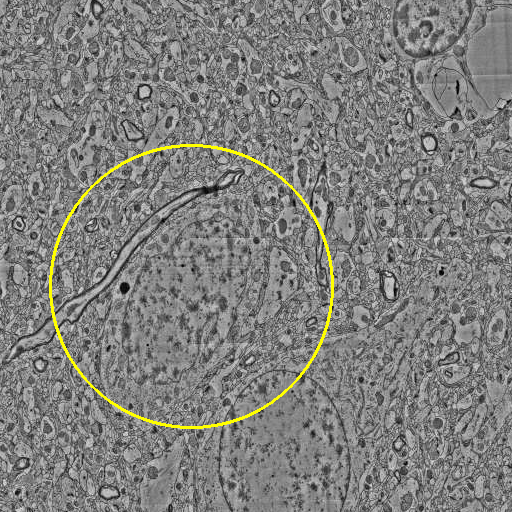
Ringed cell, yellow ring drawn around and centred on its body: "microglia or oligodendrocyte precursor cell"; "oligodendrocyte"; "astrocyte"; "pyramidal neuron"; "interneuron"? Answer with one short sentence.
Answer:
This ringed cell is an interneuron.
